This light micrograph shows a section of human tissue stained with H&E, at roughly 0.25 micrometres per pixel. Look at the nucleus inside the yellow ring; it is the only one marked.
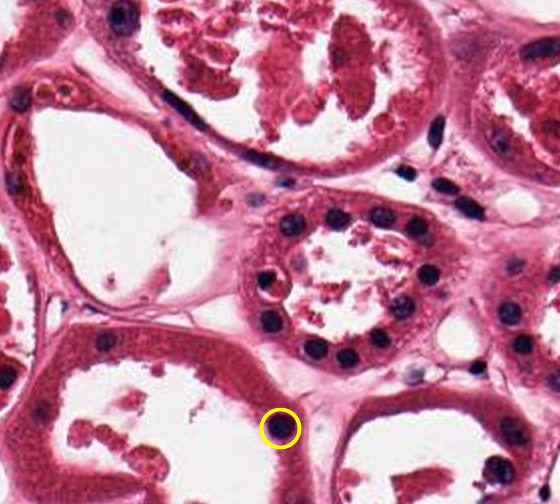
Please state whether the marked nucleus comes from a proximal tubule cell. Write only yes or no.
yes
